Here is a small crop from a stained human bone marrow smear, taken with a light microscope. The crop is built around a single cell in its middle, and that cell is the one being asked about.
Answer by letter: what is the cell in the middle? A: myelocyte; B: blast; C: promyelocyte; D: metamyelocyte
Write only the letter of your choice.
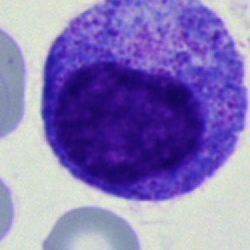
C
